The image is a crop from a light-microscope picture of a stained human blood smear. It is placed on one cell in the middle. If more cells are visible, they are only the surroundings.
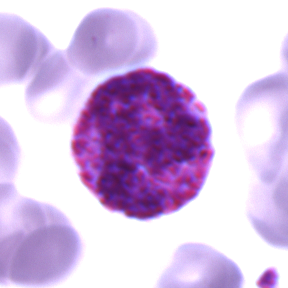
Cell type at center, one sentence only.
The cell featured at the centre of this crop is a basophil.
